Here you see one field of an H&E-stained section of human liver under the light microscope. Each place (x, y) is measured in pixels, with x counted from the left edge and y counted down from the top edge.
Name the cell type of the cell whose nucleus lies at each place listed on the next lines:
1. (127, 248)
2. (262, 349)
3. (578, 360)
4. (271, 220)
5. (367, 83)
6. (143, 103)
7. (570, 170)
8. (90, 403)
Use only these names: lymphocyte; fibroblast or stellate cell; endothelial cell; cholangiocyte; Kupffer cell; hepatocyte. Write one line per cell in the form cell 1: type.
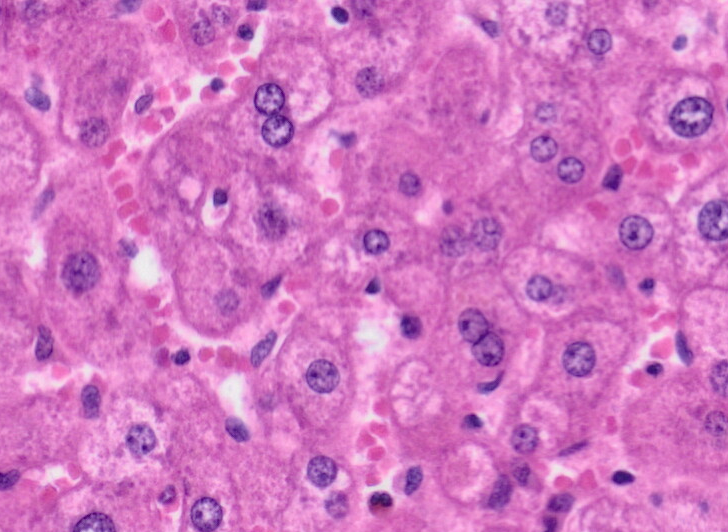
cell 1: endothelial cell
cell 2: Kupffer cell
cell 3: hepatocyte
cell 4: hepatocyte
cell 5: hepatocyte
cell 6: Kupffer cell
cell 7: hepatocyte
cell 8: Kupffer cell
